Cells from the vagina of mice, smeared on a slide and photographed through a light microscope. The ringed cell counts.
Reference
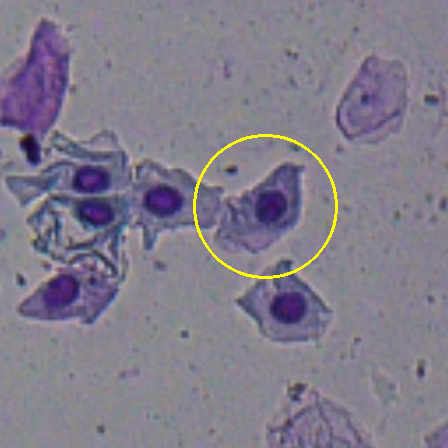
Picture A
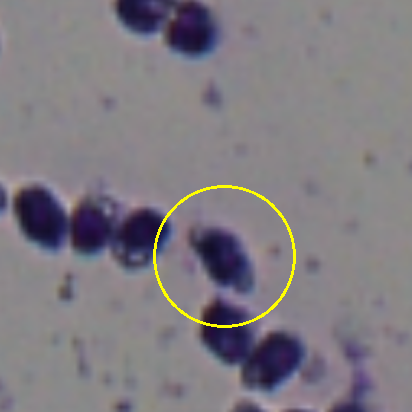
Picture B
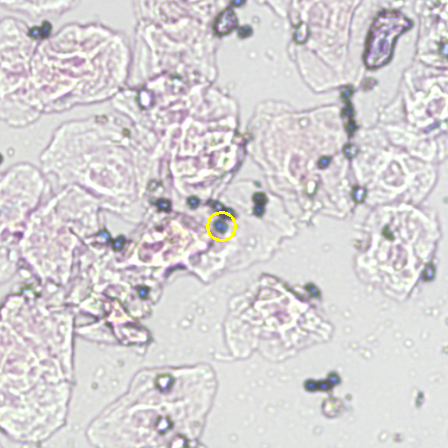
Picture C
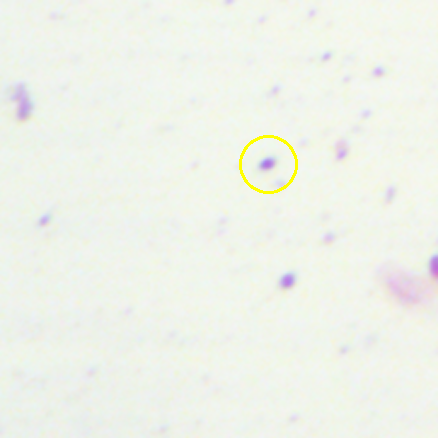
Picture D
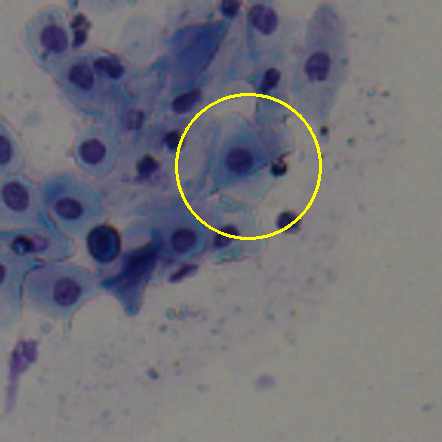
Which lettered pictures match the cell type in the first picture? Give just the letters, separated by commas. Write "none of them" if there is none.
D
